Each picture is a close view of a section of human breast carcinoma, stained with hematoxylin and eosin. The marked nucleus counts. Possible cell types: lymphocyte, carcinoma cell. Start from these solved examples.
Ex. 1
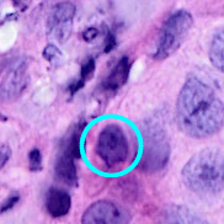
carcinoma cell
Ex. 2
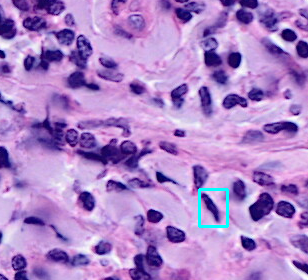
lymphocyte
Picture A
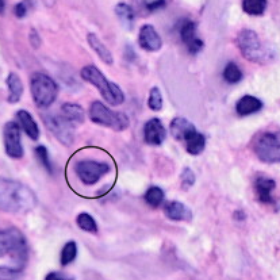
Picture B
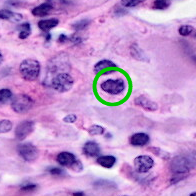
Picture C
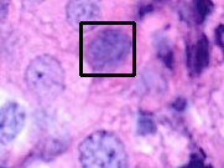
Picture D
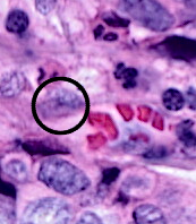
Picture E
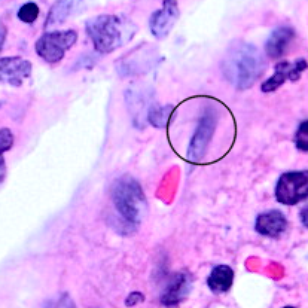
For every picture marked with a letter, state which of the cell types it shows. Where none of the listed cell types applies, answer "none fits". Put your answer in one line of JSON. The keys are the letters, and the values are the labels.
{"A": "lymphocyte", "B": "lymphocyte", "C": "carcinoma cell", "D": "none fits", "E": "none fits"}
